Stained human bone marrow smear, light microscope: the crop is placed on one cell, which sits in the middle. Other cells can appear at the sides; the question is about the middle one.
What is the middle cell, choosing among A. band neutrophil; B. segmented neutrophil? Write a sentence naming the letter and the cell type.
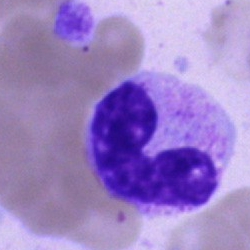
Since the middle cell is a band neutrophil, option A is the right one.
